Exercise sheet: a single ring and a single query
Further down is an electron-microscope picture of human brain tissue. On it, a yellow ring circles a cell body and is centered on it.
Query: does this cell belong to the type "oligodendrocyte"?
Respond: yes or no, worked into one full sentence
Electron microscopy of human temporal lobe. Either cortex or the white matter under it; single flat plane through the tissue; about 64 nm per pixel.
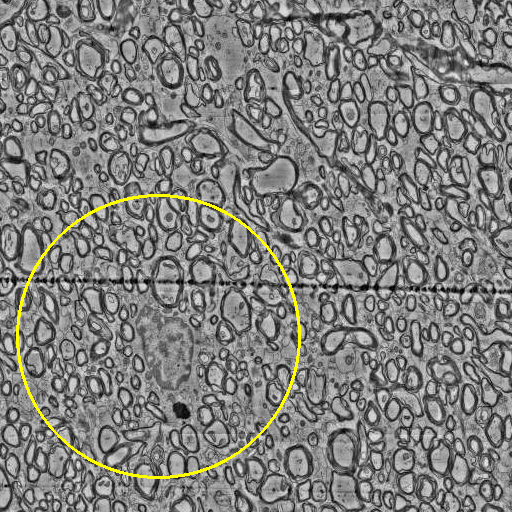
Yes, this ringed cell, found at the center of the ring in the picture, is of that type.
